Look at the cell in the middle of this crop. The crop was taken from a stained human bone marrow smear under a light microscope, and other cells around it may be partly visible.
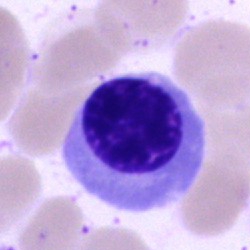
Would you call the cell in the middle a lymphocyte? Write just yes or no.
no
